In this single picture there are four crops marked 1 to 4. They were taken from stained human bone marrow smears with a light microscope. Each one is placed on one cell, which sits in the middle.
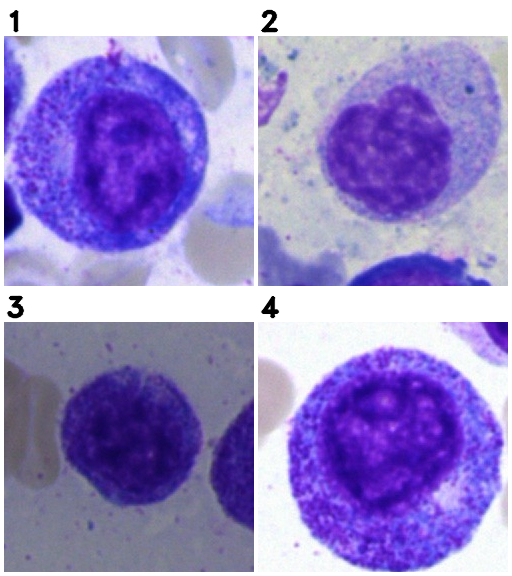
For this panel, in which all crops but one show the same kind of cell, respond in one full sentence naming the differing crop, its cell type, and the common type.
With the other crops all showing promyelocytes, crop 2 differs by showing a monocyte.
